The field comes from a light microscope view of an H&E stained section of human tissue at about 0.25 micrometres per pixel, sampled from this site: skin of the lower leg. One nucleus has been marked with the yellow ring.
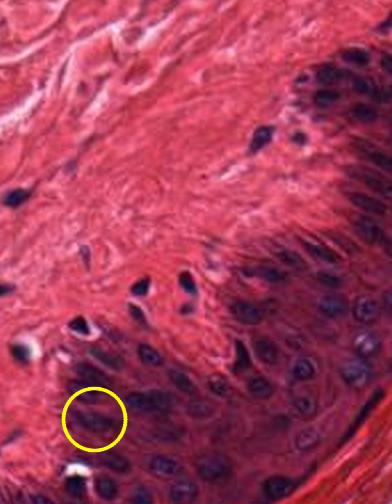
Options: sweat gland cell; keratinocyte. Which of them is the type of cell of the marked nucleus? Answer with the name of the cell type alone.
keratinocyte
